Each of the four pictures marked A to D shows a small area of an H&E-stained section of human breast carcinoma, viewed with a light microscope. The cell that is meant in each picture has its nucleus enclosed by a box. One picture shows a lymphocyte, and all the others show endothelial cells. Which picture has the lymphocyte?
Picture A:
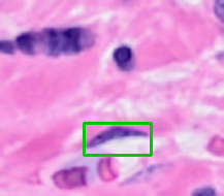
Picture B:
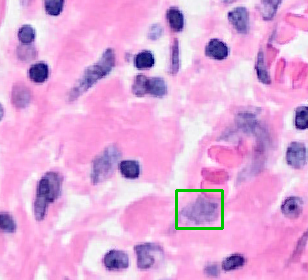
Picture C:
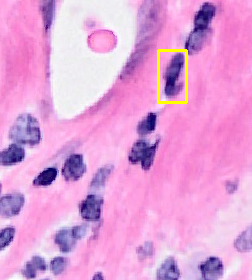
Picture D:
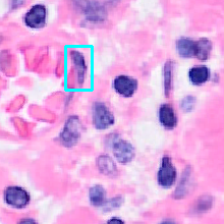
C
